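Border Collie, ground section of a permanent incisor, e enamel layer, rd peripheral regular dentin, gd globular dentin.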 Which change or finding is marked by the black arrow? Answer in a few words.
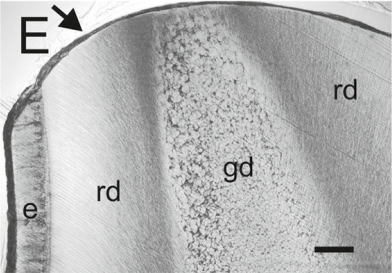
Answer: Wear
